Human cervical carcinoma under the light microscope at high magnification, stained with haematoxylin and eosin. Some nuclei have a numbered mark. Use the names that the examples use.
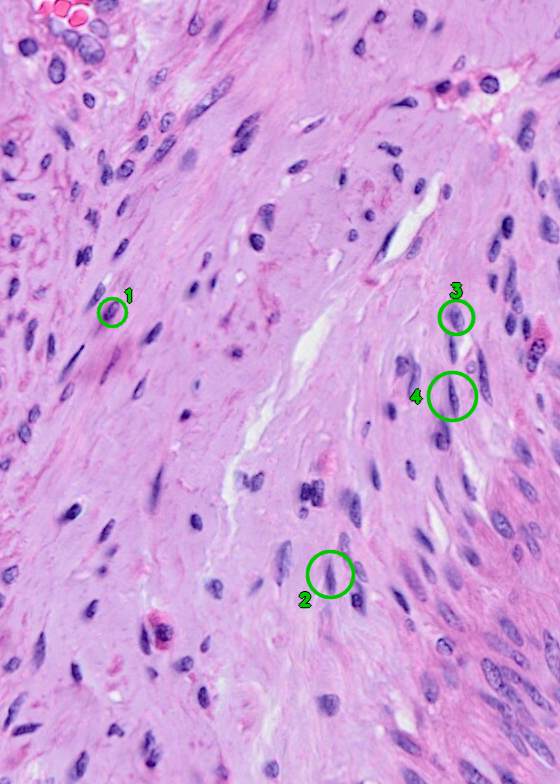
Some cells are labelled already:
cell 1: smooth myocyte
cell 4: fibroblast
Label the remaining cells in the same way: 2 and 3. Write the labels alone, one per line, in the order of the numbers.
fibroblast
fibroblast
